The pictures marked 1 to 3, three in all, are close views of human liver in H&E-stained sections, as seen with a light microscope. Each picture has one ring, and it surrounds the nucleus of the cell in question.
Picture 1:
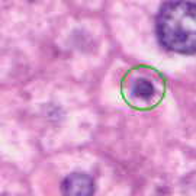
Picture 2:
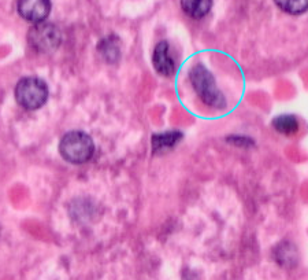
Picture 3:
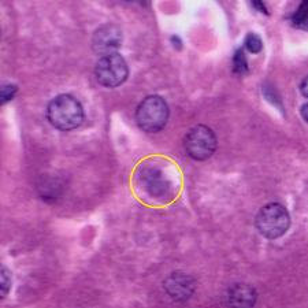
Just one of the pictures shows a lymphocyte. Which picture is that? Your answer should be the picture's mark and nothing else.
1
